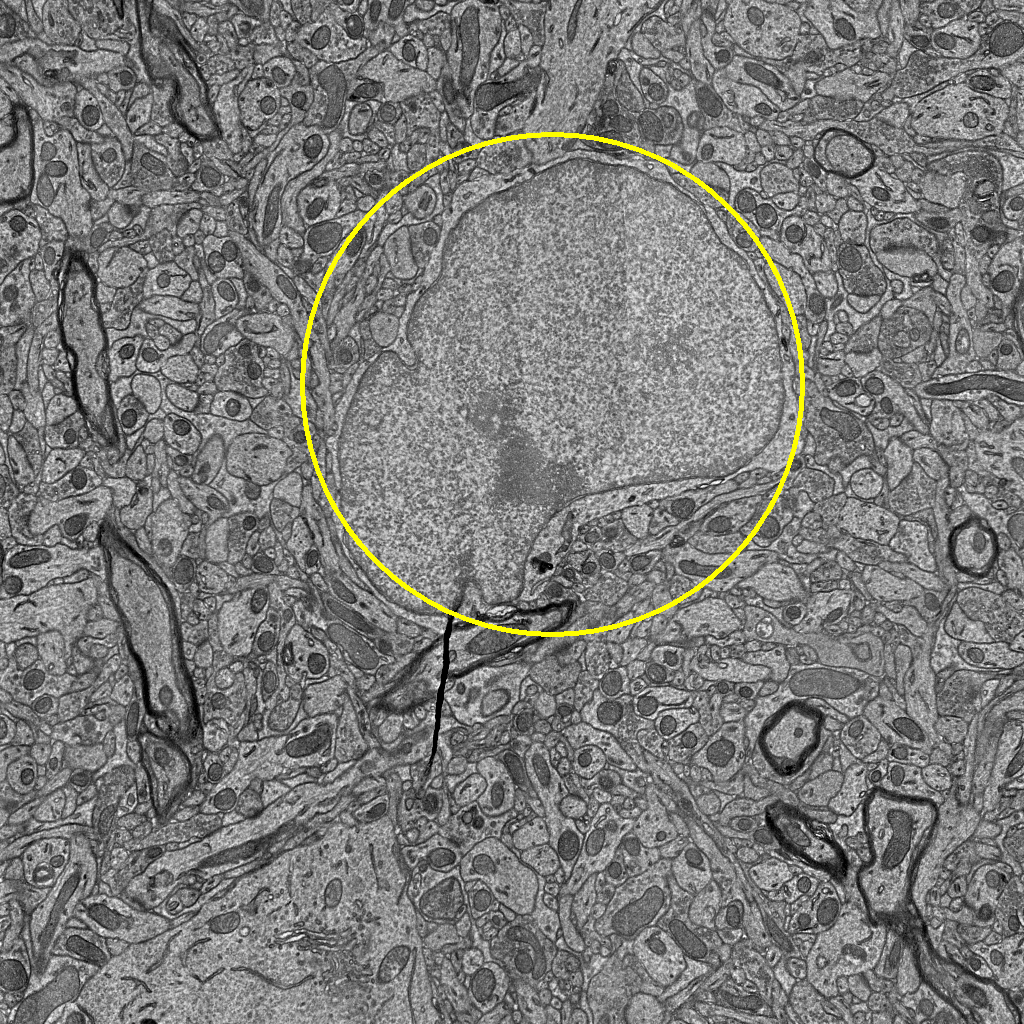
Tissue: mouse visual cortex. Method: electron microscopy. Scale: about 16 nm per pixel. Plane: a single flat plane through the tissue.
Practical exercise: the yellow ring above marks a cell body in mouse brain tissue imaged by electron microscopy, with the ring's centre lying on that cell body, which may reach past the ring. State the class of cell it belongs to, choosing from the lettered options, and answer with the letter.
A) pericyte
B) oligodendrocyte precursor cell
B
